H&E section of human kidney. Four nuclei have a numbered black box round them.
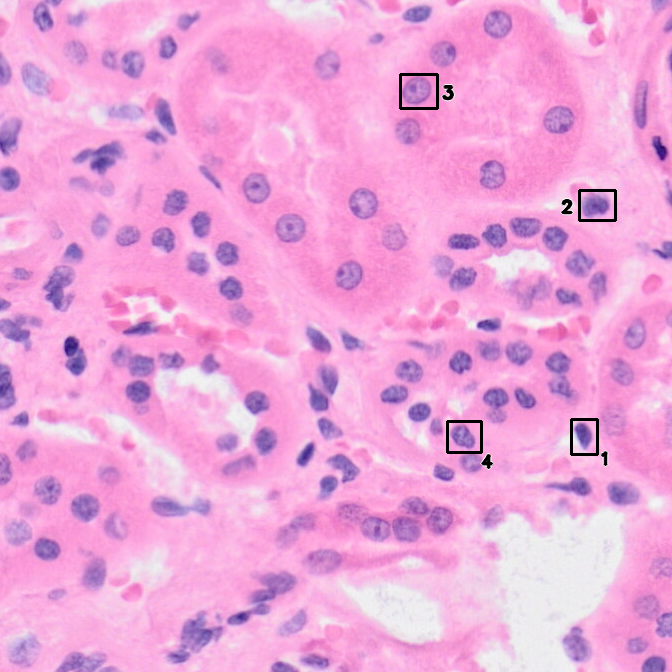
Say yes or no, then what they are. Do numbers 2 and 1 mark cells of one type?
Yes: cells 2 and 1 are both endothelial cells.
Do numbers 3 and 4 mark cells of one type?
No, cell 3 is a proximal tubule cell whereas cell 4 is a collecting duct cell.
